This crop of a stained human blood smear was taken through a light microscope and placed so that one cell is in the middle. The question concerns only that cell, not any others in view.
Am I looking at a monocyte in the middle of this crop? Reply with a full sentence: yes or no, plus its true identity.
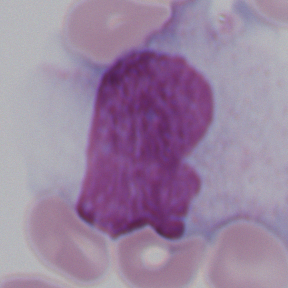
Yes, the central cell of this crop corresponds to a monocyte.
